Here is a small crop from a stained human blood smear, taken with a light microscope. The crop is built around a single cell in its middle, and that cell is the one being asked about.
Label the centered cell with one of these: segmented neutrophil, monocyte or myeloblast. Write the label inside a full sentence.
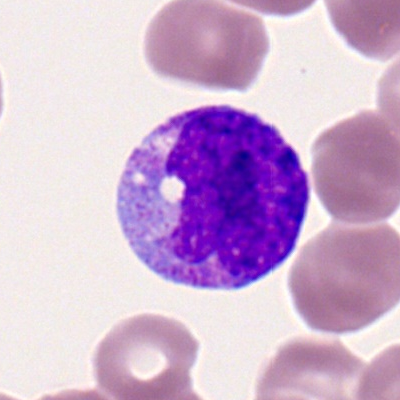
In the middle of this smear crop, the cell is a monocyte.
